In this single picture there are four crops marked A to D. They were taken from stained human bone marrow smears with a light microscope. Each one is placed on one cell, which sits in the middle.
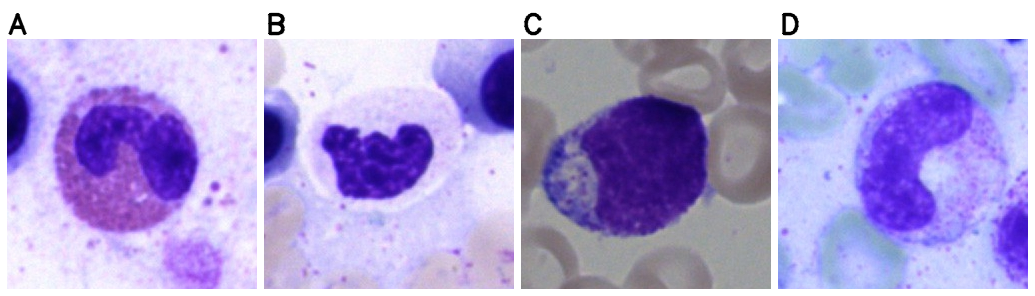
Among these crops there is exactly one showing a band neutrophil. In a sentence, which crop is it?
Crop D is the crop that shows a band neutrophil in its middle.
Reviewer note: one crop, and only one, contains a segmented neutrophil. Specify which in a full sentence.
Crop B shows a segmented neutrophil, and no other crop does.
